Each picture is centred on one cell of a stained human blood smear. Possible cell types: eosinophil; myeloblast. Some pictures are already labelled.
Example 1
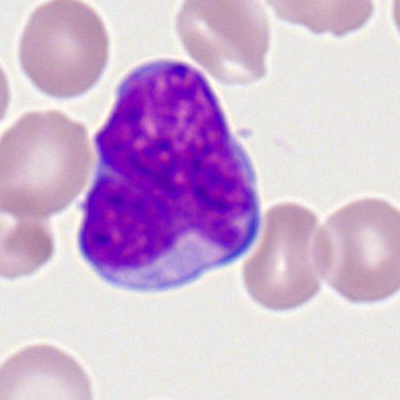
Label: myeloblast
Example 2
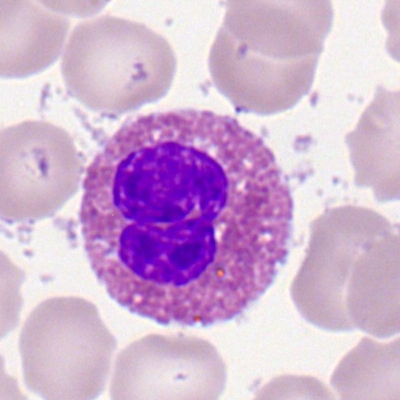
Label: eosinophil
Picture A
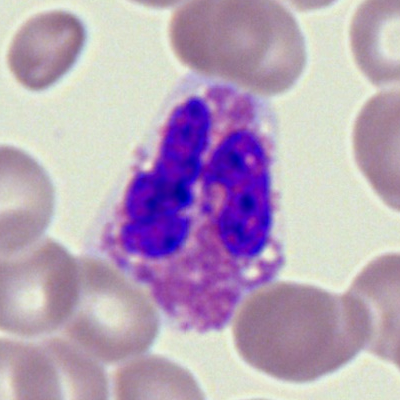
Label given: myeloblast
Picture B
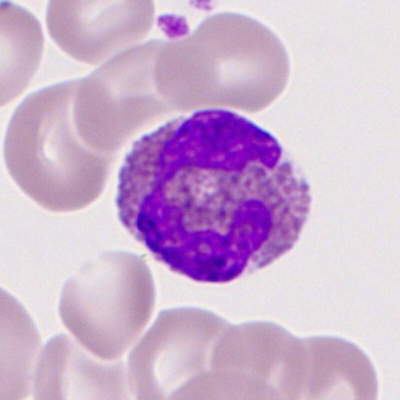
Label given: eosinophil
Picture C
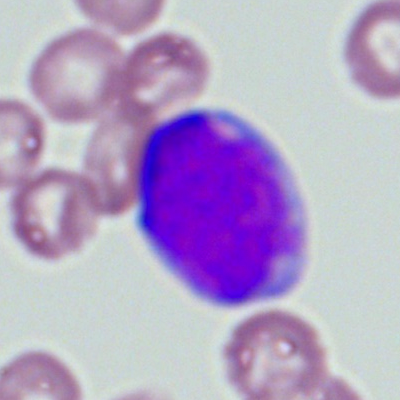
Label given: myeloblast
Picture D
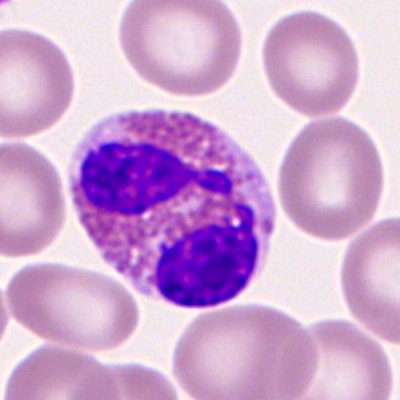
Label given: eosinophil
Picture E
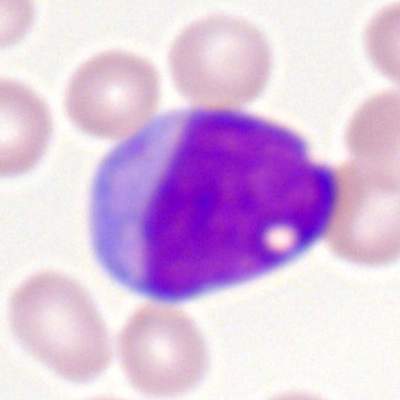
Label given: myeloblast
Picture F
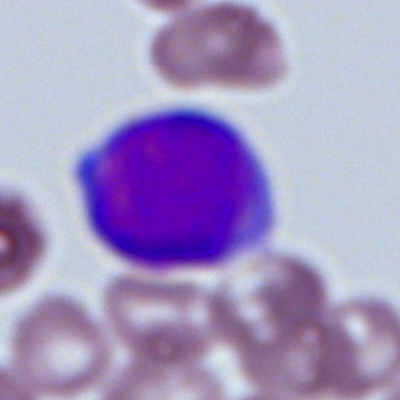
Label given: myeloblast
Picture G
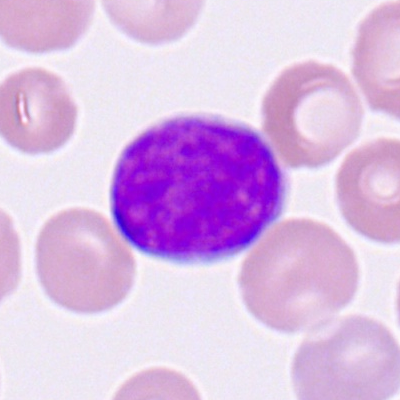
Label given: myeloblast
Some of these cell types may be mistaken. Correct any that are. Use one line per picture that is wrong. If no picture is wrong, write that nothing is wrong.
A: not myeloblast but eosinophil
